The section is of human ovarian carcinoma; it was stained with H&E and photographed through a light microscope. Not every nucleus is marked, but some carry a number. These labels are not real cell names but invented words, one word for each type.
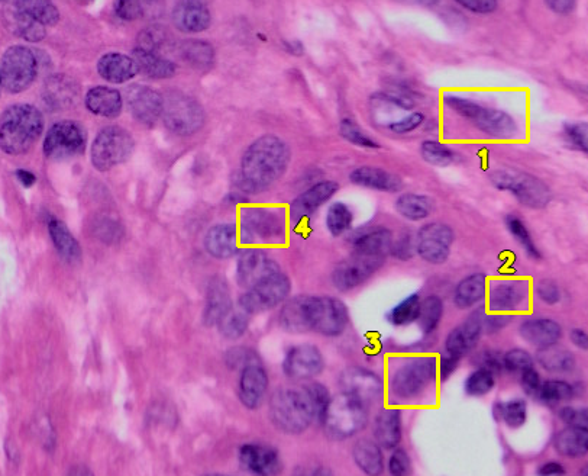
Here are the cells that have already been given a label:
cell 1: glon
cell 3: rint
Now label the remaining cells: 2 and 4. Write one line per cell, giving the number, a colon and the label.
2: rint
4: rint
